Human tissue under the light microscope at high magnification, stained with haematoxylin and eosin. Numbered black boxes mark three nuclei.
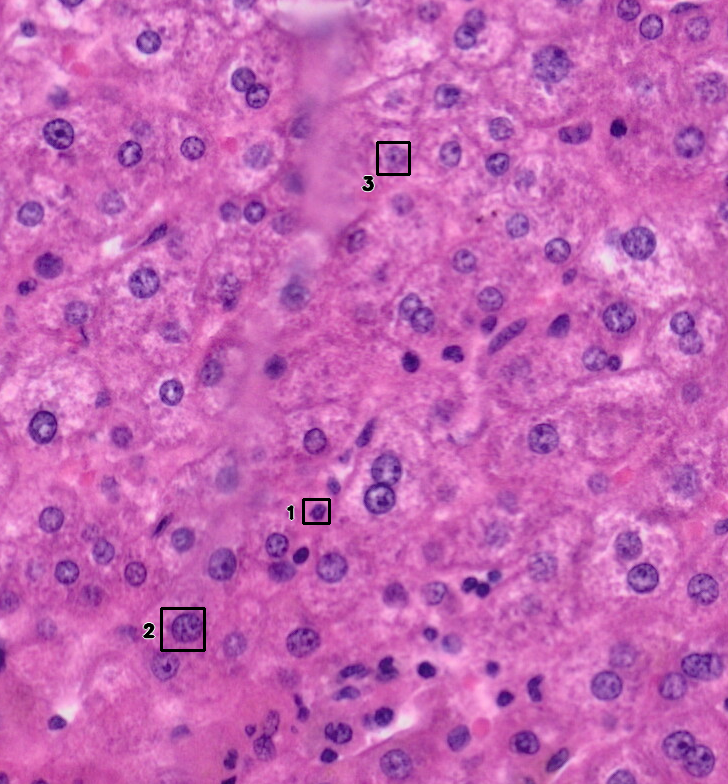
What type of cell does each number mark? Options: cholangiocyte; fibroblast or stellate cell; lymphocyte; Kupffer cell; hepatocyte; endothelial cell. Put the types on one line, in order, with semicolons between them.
lymphocyte; hepatocyte; hepatocyte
